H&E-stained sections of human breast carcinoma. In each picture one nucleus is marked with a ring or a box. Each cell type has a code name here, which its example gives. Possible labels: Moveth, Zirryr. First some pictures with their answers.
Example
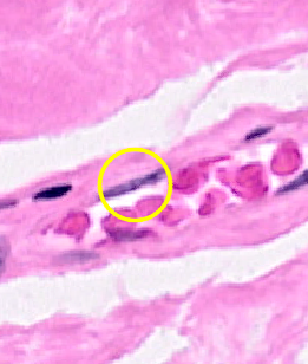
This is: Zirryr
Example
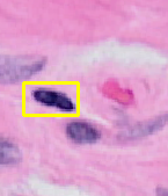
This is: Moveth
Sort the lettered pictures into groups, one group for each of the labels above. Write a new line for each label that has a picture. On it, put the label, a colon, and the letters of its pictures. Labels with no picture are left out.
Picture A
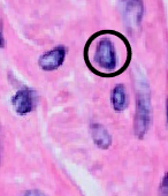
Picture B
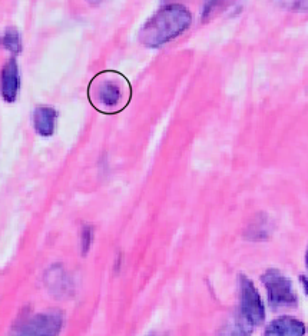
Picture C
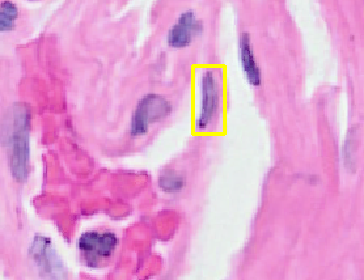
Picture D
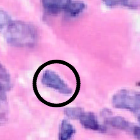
Moveth: B, D
Zirryr: A, C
